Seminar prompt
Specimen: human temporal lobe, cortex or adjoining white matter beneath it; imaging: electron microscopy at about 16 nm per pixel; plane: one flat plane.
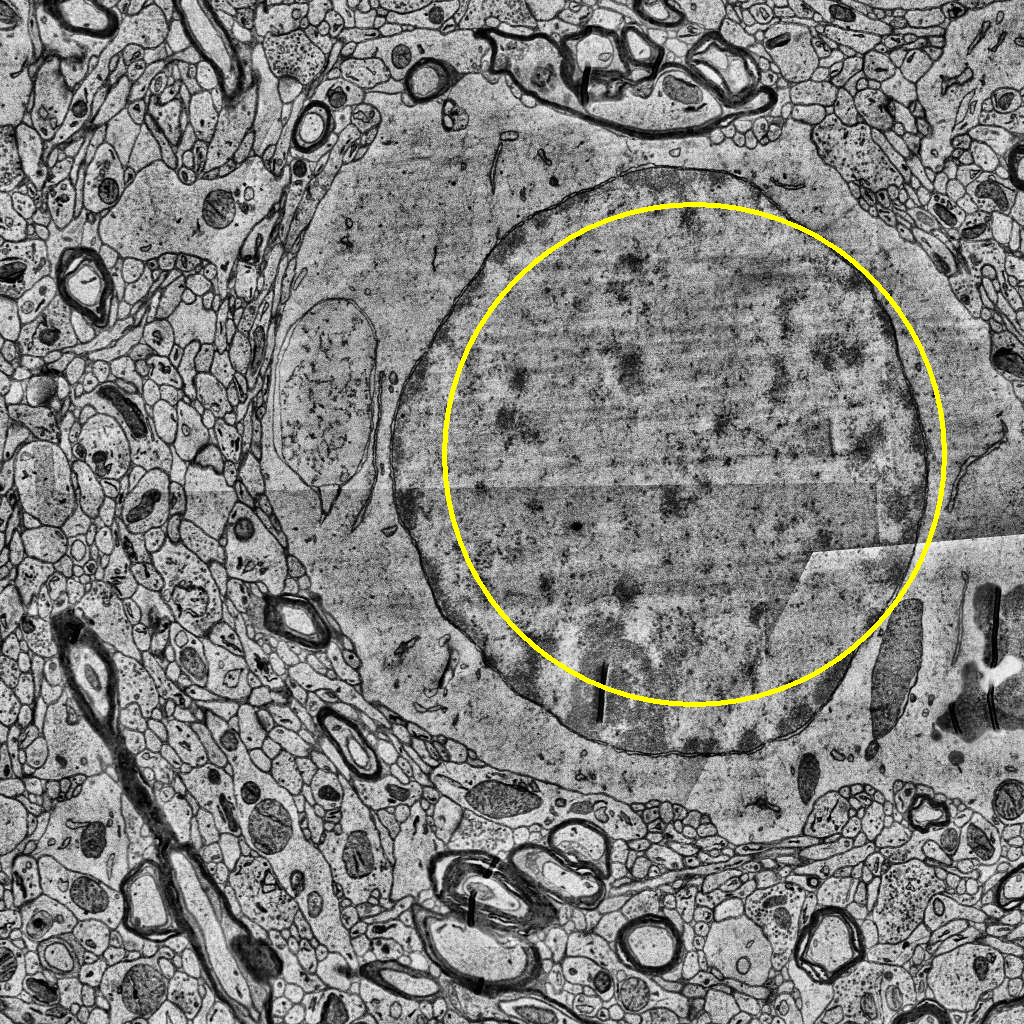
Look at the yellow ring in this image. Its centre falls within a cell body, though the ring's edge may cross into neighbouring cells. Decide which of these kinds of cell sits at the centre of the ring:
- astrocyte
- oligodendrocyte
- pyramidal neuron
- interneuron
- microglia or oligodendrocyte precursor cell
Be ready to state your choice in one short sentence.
The kind of cell at the ring's centre is an astrocyte.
